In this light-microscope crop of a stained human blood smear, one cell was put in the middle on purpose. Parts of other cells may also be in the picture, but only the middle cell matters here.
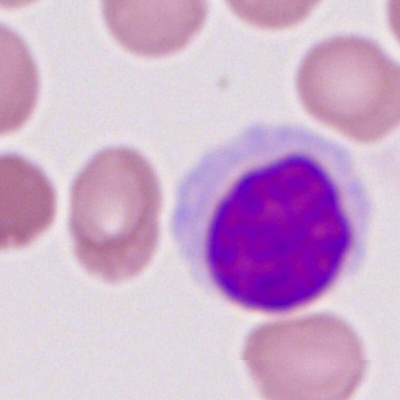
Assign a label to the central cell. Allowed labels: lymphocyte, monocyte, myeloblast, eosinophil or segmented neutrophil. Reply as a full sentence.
Regarding the central cell, it is a lymphocyte.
